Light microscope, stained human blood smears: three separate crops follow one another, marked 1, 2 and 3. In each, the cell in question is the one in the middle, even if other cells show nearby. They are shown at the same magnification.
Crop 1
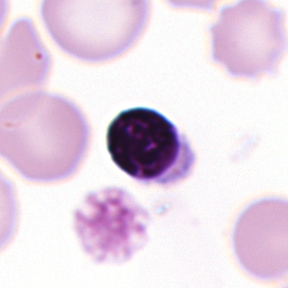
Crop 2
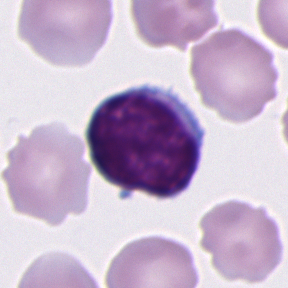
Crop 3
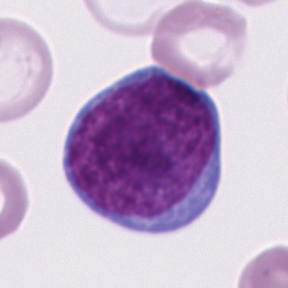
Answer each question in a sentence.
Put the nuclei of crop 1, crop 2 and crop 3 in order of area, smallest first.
Smallest first: 1, 2, 3.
